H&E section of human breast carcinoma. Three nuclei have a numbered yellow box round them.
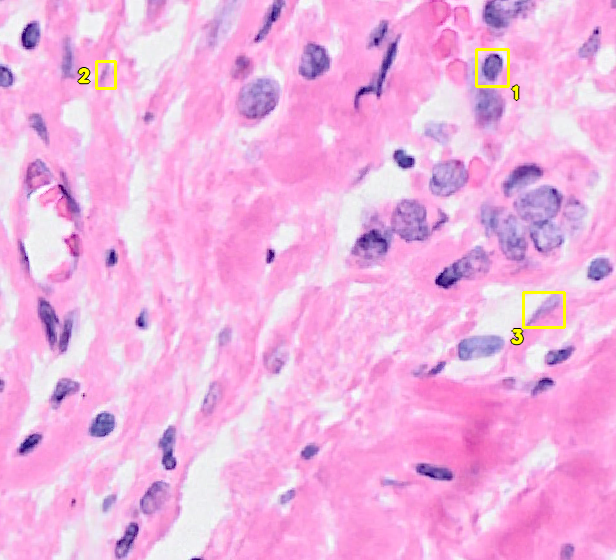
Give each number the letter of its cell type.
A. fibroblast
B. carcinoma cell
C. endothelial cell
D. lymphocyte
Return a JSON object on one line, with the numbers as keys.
{"1": "D", "2": "A", "3": "A"}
